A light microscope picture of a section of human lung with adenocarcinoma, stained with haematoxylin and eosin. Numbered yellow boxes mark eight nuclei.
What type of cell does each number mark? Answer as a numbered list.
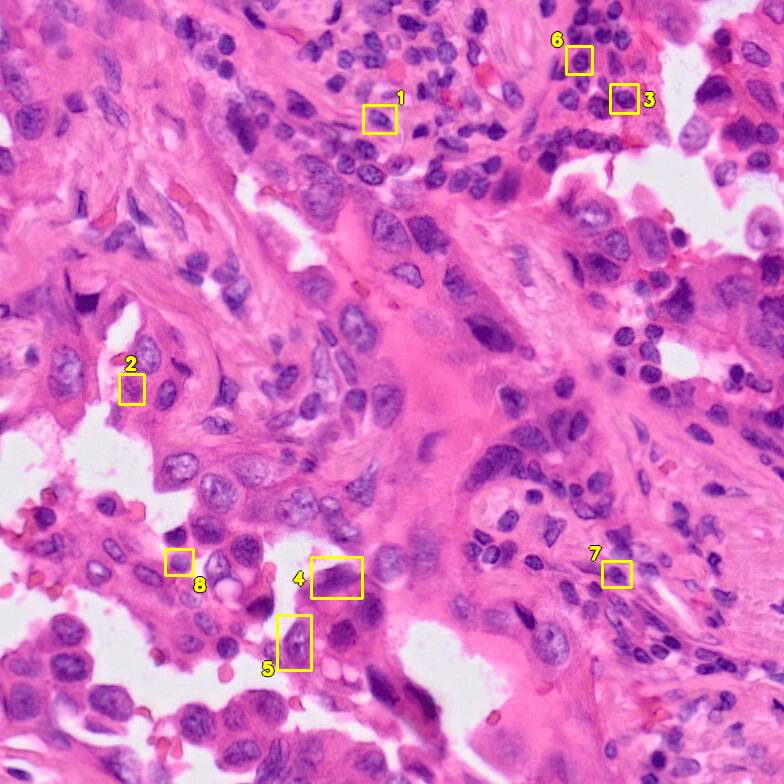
1. lymphocyte
2. carcinoma cell
3. lymphocyte
4. carcinoma cell
5. carcinoma cell
6. lymphocyte
7. lymphocyte
8. lymphocyte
